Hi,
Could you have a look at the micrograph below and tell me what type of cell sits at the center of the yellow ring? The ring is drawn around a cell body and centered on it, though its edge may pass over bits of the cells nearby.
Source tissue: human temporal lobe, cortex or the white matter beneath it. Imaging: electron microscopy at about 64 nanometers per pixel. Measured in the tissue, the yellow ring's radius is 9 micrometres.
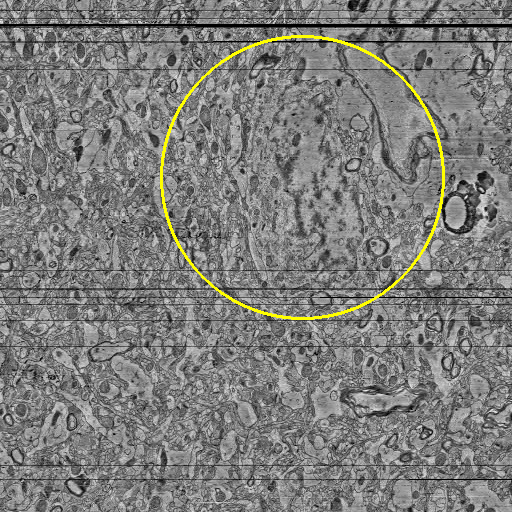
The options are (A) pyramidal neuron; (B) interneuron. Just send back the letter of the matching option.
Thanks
B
